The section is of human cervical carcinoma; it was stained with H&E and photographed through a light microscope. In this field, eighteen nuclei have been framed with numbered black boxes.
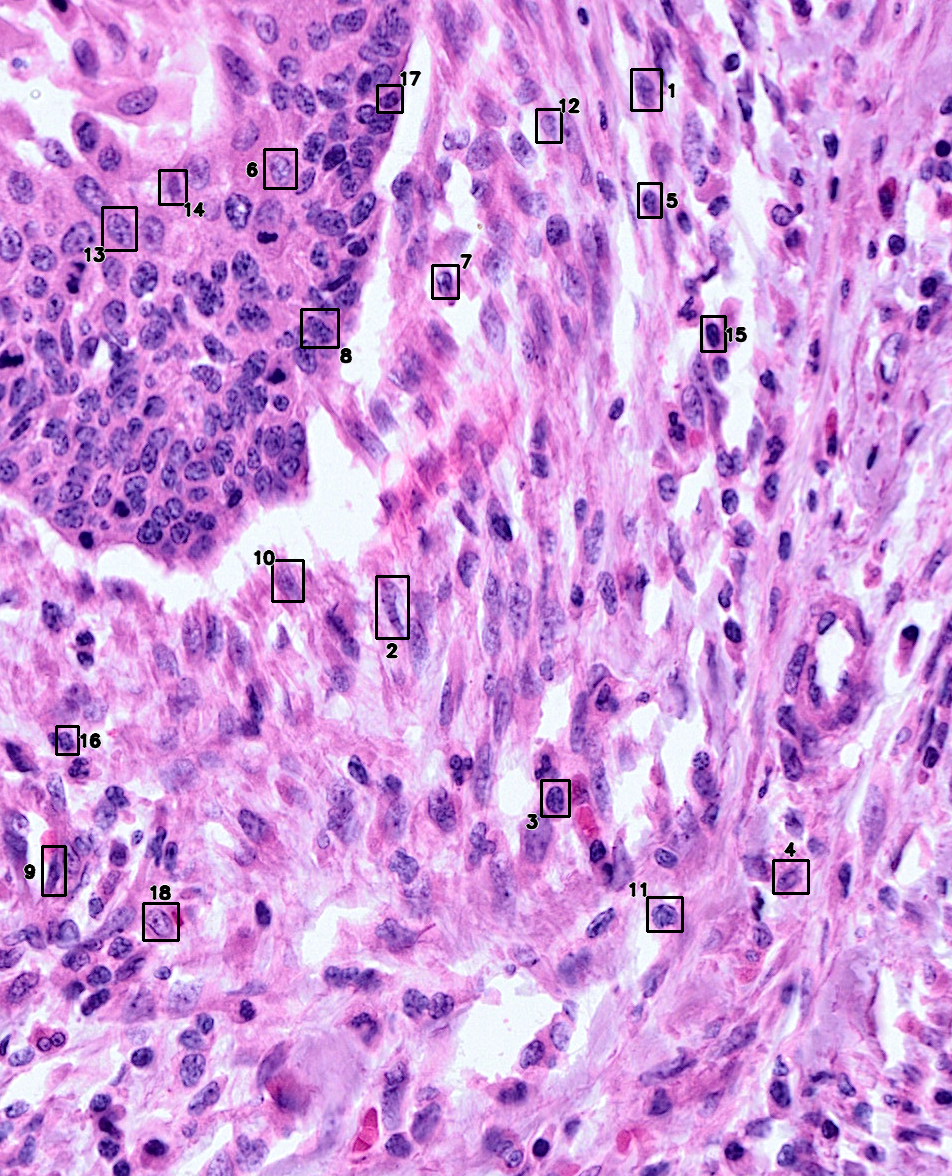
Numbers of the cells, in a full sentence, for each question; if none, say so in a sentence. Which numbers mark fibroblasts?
The numbers 2, 10 and 12 mark cells that are fibroblasts.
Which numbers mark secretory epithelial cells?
Of the numbered cells, none are secretory epithelial cells.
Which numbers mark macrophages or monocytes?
Regarding the numbered cells 1, 4 and 7, these are macrophages or monocytes.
